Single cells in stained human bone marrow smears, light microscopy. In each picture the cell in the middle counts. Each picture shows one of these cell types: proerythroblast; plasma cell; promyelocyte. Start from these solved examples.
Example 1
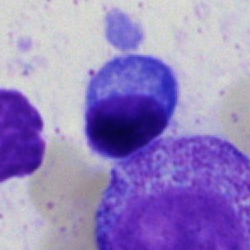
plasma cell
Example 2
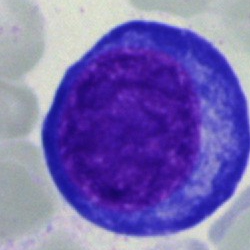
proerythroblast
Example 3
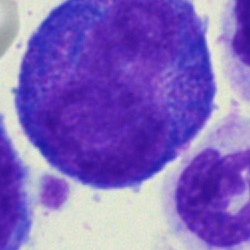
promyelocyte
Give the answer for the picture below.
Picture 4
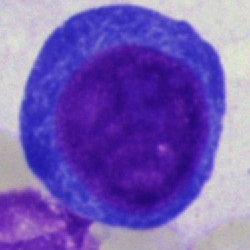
proerythroblast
